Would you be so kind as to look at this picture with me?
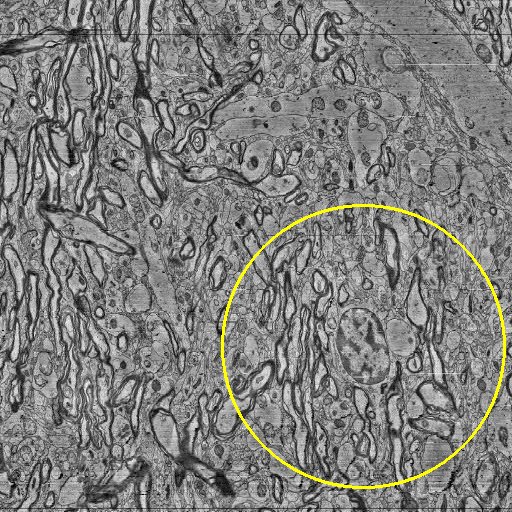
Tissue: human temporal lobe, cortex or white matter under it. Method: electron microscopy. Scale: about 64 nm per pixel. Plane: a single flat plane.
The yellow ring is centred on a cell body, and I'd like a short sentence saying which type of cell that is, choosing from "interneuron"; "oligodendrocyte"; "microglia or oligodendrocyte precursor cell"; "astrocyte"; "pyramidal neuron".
The cell body in the ring belongs to a microglial cell or oligodendrocyte precursor cell.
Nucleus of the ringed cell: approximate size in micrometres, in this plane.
Approximately 5 micrometres long and 3 micrometres wide, so clearly longer than it is wide in this plane.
